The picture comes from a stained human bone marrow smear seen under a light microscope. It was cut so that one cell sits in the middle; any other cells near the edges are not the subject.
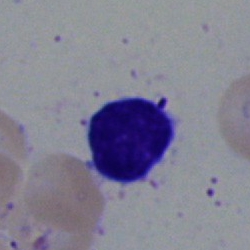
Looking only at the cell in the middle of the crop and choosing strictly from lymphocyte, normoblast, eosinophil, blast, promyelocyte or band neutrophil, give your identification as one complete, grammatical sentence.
The cell positioned in the middle of the field is a lymphocyte.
